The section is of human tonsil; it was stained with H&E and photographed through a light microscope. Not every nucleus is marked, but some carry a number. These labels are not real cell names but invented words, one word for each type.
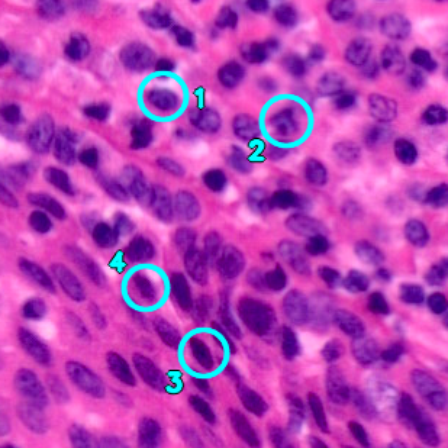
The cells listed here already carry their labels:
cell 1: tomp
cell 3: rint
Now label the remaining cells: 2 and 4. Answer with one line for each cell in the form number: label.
2: tomp
4: rint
